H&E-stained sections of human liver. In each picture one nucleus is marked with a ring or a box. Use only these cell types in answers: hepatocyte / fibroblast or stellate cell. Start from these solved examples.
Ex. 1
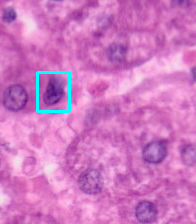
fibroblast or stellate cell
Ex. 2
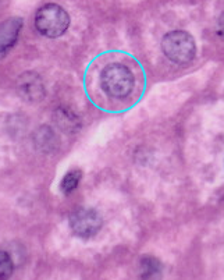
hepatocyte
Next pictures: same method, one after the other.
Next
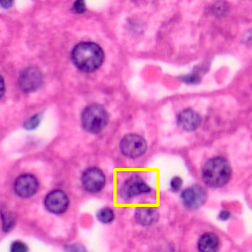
fibroblast or stellate cell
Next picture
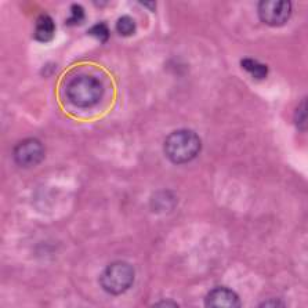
hepatocyte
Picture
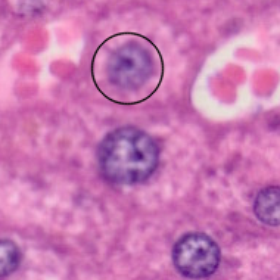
hepatocyte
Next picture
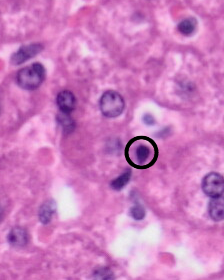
fibroblast or stellate cell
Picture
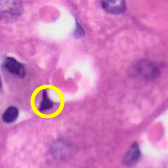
fibroblast or stellate cell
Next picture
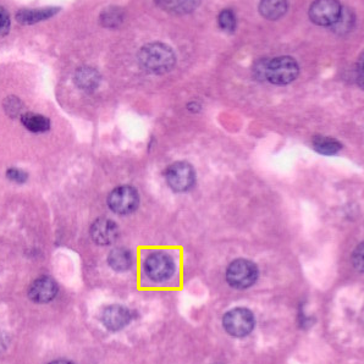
hepatocyte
